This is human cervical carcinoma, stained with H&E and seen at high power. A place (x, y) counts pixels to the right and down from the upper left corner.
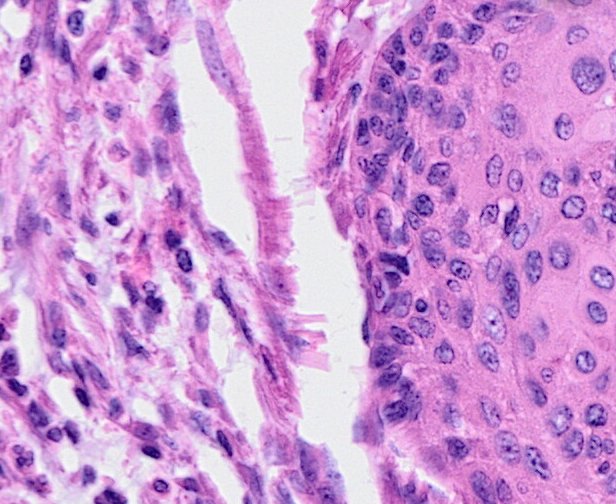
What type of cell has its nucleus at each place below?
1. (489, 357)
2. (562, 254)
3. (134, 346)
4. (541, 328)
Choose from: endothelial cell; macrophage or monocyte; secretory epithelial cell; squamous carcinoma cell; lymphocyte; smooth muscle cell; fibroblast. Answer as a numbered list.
1. squamous carcinoma cell
2. squamous carcinoma cell
3. fibroblast
4. squamous carcinoma cell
